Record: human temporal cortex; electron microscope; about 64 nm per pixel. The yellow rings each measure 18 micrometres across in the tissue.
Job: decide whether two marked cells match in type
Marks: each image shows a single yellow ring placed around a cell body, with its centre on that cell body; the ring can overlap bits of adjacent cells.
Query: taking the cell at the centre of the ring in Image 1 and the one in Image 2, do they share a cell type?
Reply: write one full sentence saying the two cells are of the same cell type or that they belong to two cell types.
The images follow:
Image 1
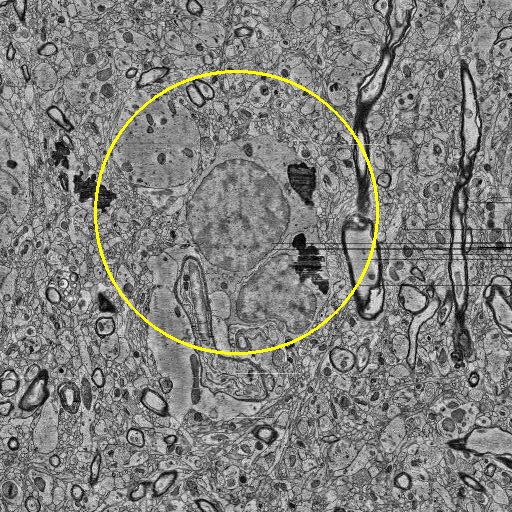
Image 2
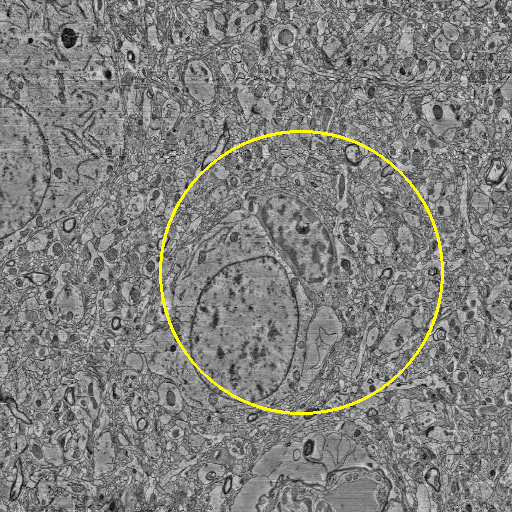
The cells at the ring centres in Image 1 and Image 2 are of the same cell type.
